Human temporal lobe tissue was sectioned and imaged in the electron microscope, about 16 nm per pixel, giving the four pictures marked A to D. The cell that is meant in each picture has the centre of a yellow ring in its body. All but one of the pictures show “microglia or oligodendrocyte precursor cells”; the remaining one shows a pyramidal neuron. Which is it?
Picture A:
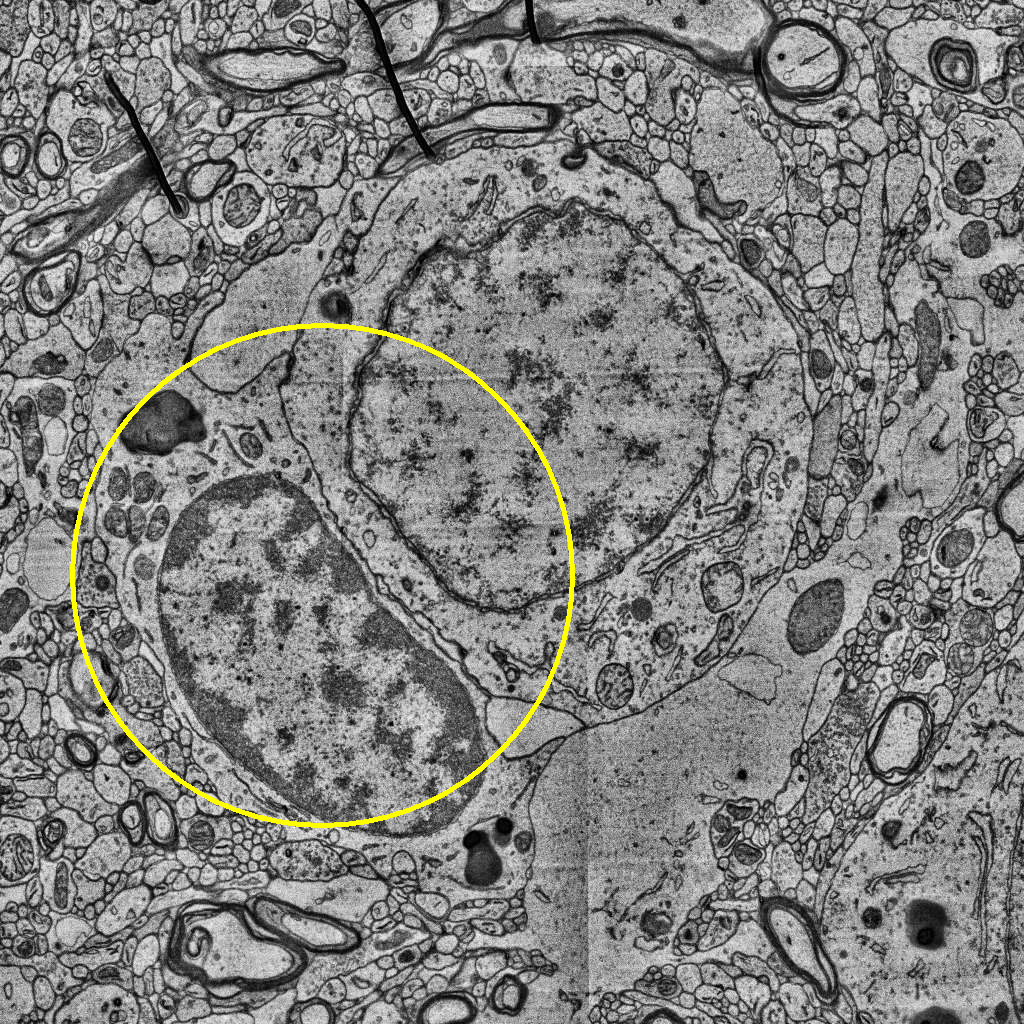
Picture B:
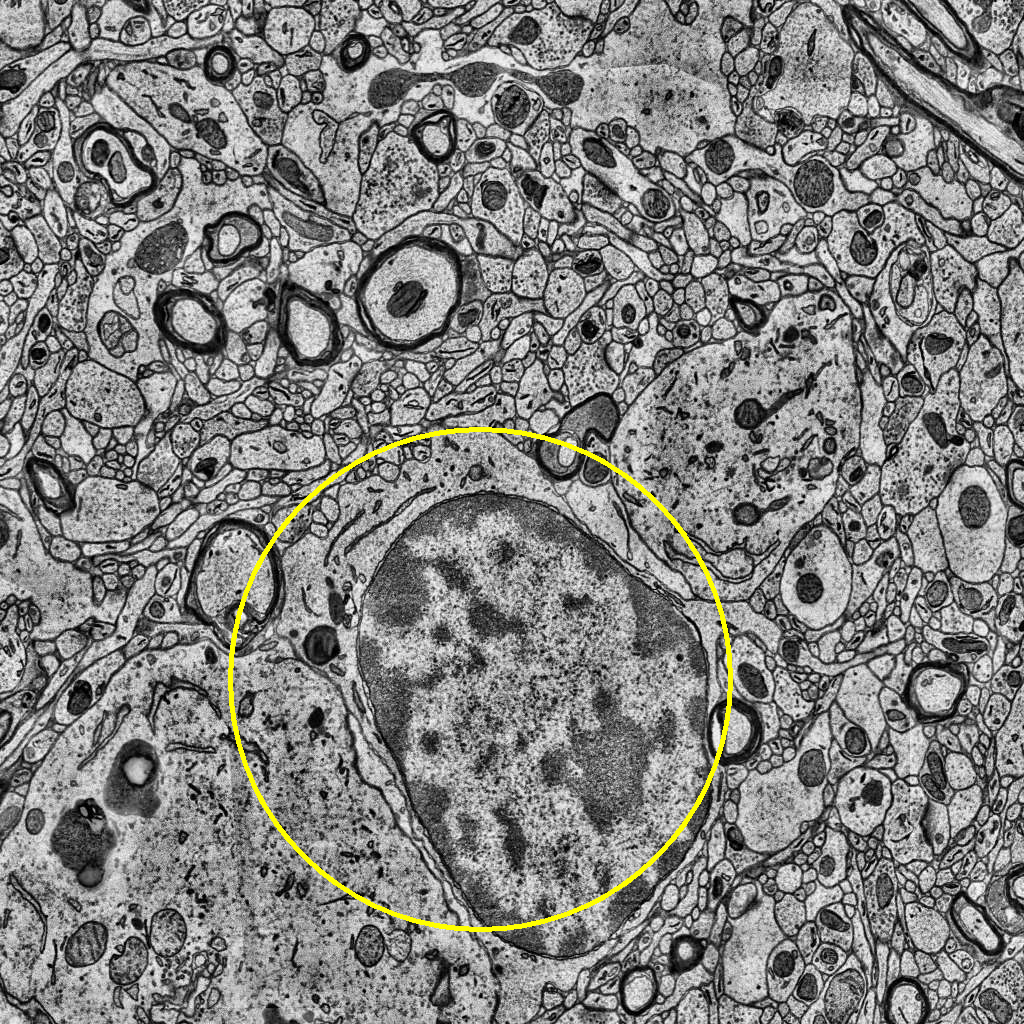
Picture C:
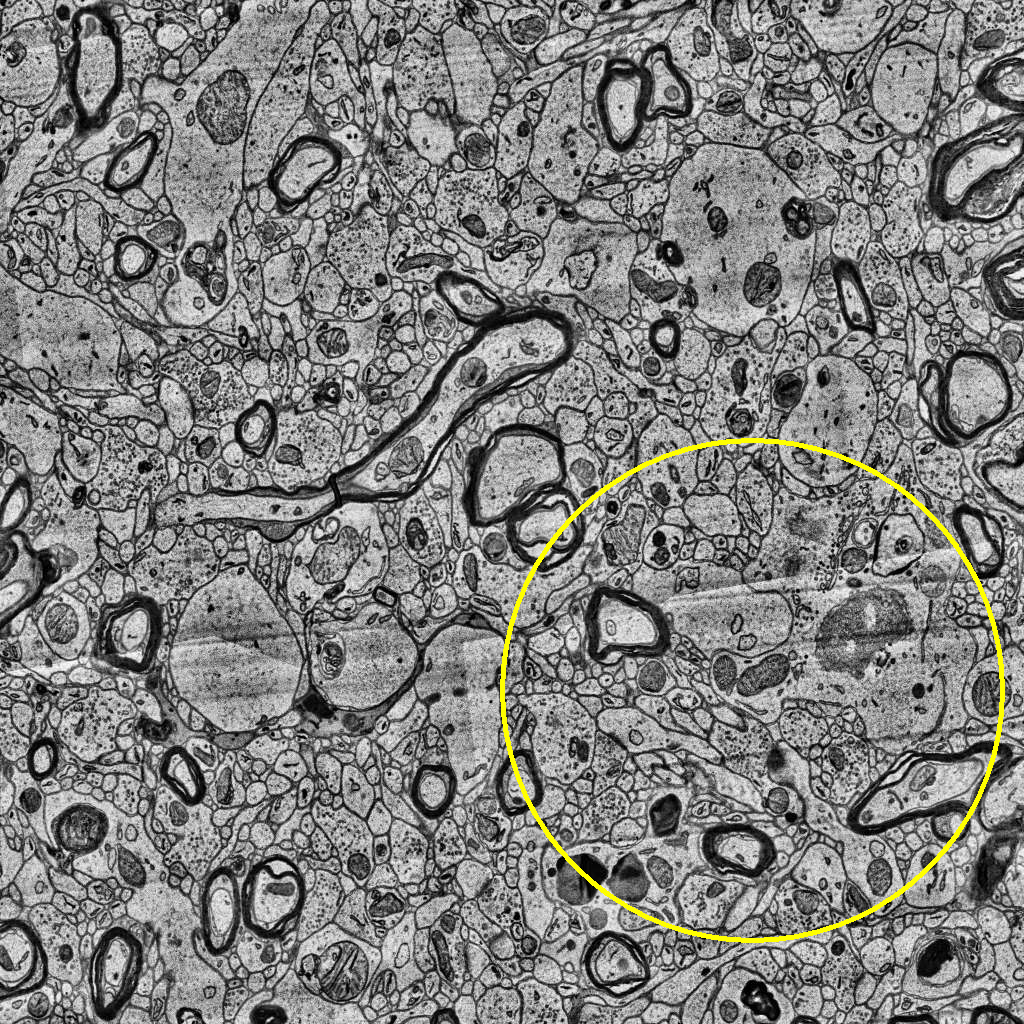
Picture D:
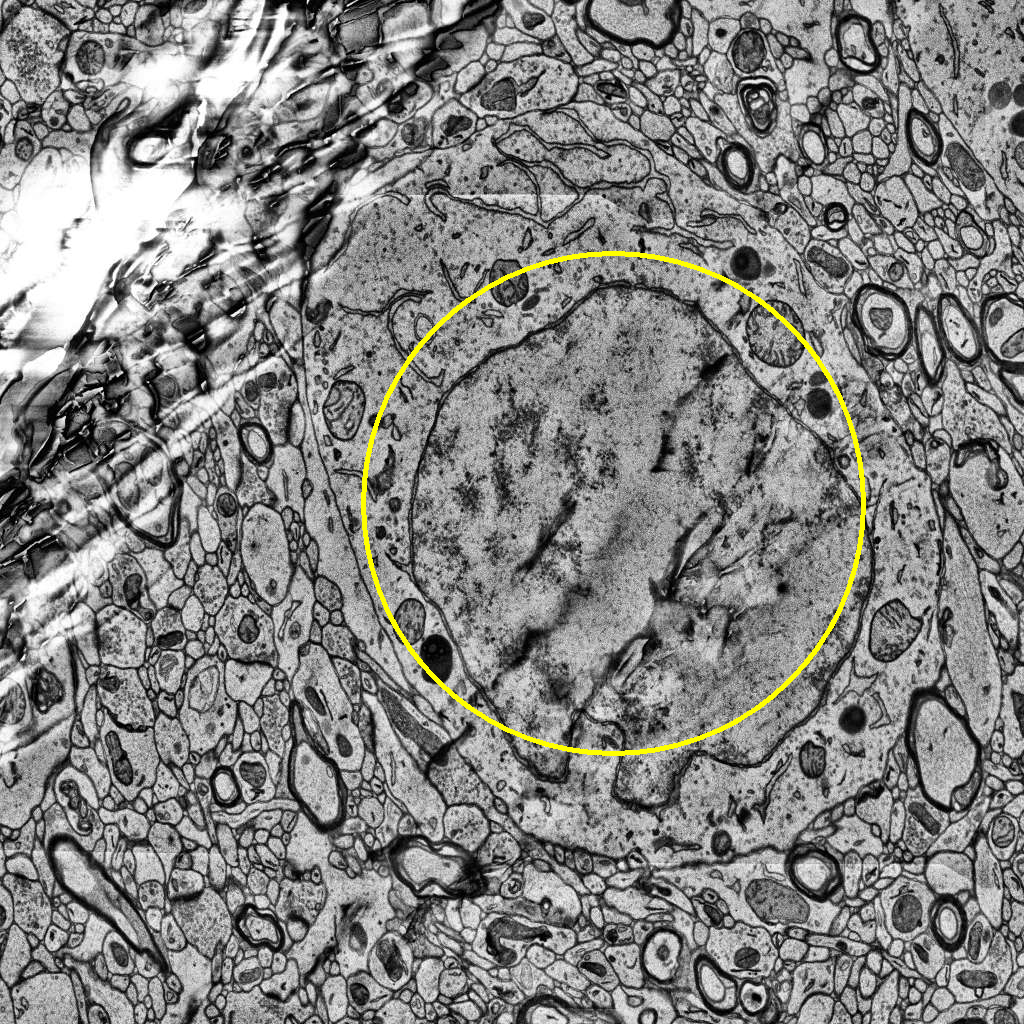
The picture with the pyramidal neuron is D.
